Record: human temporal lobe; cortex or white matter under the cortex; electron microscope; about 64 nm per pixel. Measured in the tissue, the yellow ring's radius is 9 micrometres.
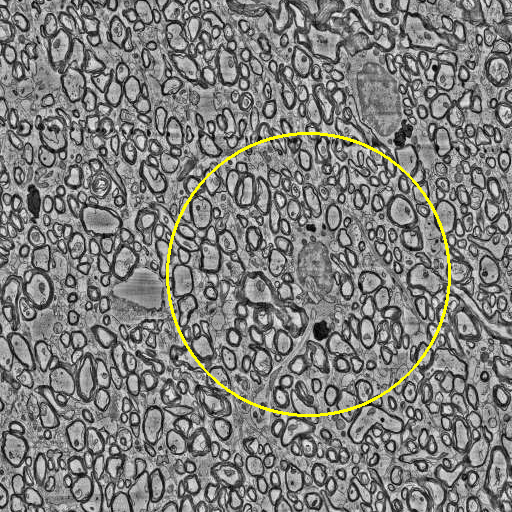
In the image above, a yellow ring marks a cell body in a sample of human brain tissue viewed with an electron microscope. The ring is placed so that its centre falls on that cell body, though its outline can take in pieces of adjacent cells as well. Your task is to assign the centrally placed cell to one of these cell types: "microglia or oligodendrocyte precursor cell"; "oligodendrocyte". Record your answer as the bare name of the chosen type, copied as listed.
oligodendrocyte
